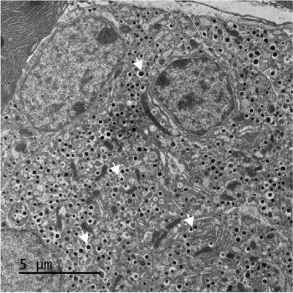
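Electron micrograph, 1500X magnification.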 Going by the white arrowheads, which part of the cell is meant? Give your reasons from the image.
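The marked structures are small round vesicles with a dense dark core. Each dark core sits within a pale halo inside the membrane. Many such granules fill the cytoplasm around the nucleus.
Insulin granules.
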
